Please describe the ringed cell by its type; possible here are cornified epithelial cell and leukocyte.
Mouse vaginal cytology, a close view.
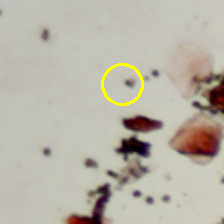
The yellow ring marks a leukocyte.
